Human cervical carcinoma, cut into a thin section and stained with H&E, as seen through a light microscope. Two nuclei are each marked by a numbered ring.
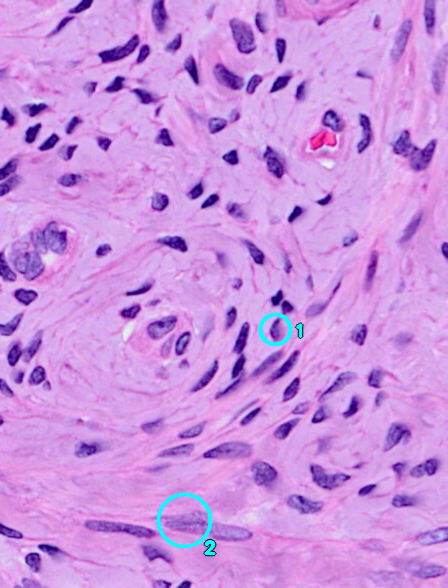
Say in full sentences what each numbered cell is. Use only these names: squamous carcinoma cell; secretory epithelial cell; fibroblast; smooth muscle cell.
Cell 1 is a fibroblast. Cell 2 is a smooth muscle cell.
